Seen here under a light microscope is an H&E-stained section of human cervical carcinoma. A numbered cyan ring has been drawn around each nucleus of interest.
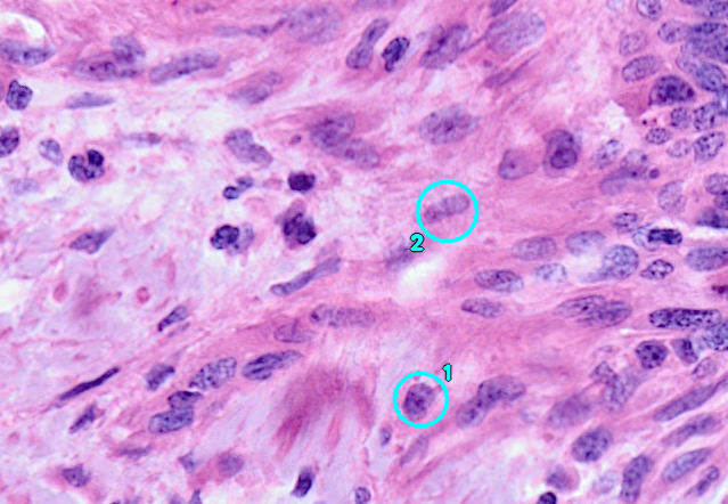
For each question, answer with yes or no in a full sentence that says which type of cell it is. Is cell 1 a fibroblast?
No, it is a macrophage or monocyte, not a fibroblast, that number 1 marks.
